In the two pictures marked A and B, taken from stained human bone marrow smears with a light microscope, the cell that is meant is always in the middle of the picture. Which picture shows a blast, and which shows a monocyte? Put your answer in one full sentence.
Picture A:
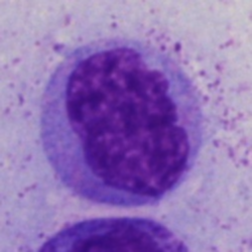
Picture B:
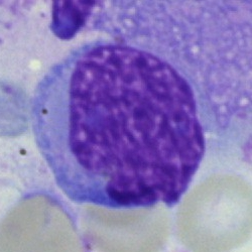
The cell in picture A is a monocyte, and the one in picture B is a blast.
